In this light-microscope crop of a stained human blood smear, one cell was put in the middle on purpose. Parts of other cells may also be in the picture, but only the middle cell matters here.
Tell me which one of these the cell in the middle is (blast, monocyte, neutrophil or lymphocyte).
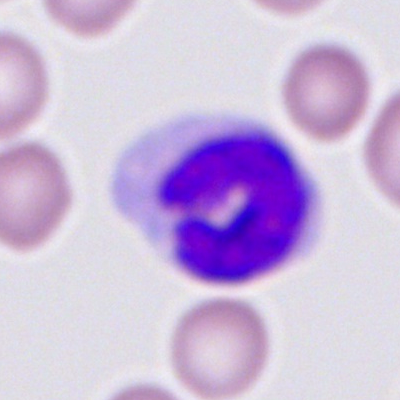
monocyte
